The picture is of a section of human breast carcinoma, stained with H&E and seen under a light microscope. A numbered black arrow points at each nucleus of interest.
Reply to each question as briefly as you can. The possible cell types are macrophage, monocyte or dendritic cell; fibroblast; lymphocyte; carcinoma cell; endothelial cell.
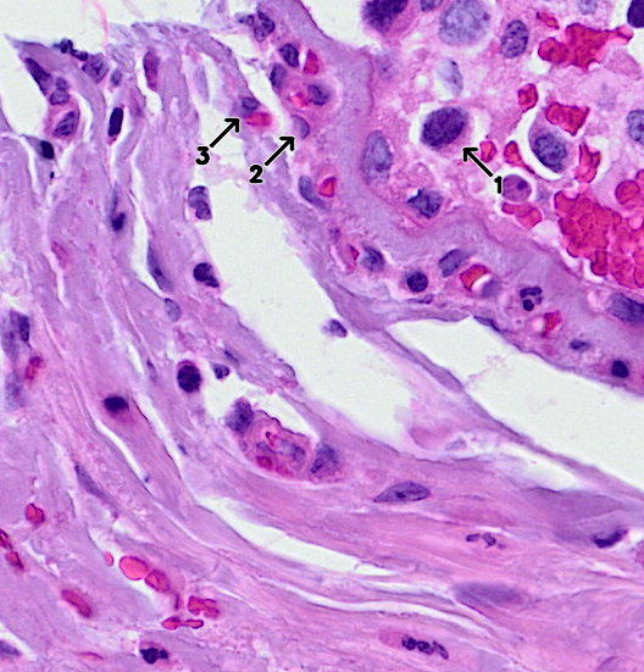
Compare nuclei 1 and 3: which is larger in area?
1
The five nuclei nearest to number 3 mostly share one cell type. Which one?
endothelial cell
